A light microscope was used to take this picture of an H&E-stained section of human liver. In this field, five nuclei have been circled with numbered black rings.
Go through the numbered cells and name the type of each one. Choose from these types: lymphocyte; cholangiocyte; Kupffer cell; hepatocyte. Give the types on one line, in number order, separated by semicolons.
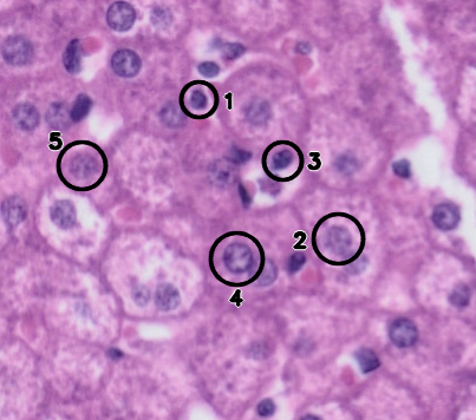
lymphocyte; hepatocyte; lymphocyte; hepatocyte; hepatocyte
